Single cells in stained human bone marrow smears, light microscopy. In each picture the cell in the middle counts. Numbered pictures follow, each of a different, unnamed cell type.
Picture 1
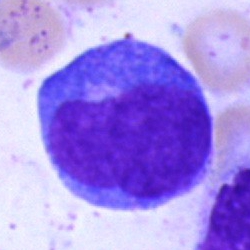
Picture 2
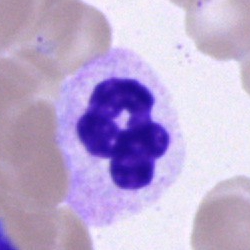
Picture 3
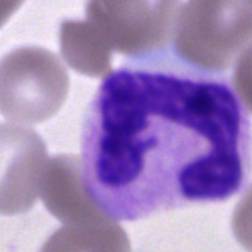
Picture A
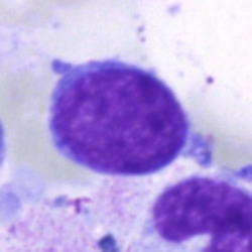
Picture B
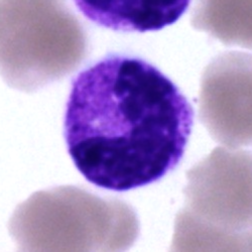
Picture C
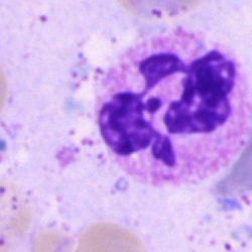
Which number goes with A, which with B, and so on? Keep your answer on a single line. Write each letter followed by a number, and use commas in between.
A 1, B 3, C 2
